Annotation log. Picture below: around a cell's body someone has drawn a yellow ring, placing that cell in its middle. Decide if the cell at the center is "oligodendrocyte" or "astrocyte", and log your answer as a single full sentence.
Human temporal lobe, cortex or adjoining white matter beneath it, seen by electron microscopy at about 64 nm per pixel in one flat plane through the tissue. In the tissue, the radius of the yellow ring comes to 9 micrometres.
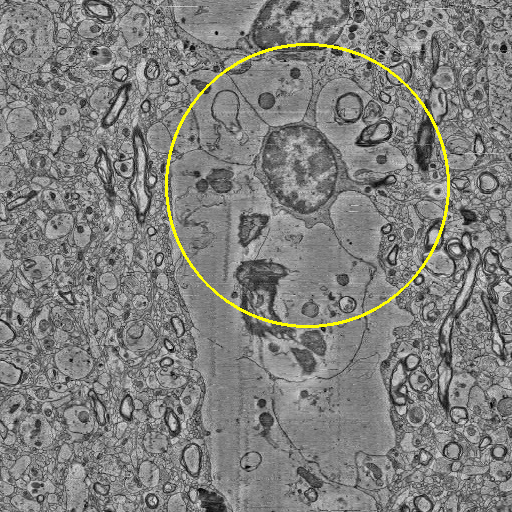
My entry records an oligodendrocyte as the cell sitting at the center of the yellow ring.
